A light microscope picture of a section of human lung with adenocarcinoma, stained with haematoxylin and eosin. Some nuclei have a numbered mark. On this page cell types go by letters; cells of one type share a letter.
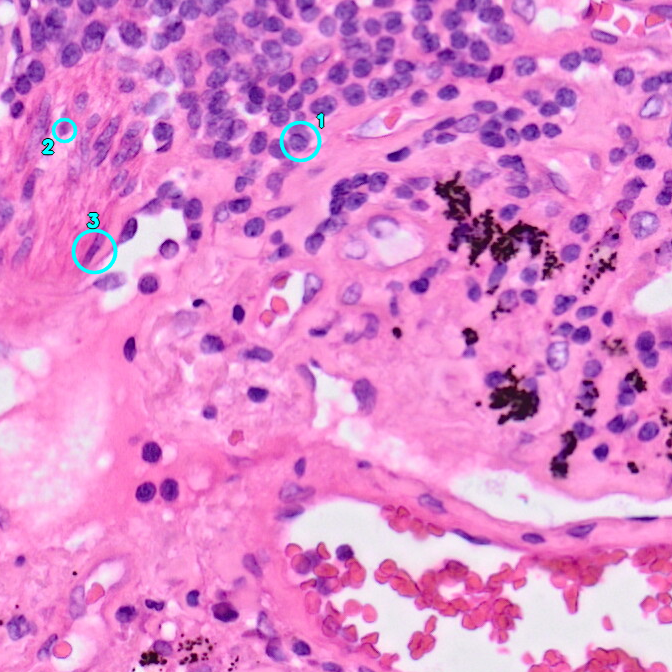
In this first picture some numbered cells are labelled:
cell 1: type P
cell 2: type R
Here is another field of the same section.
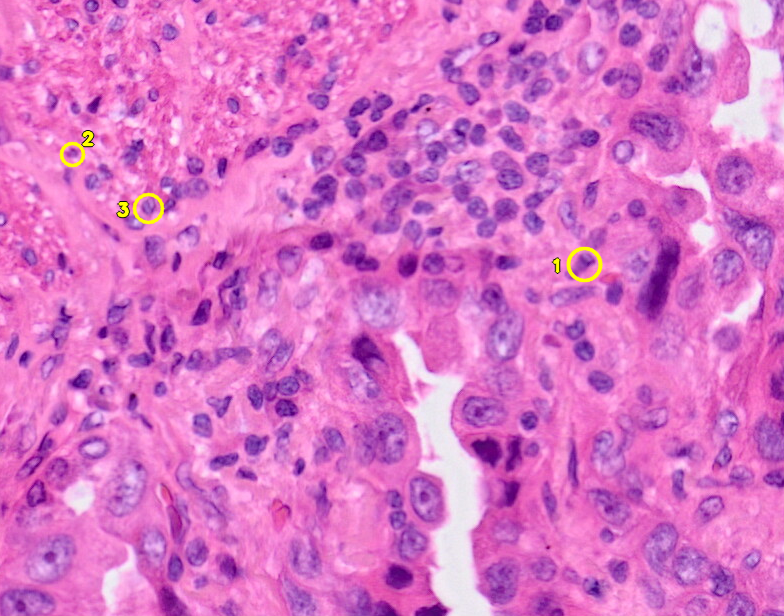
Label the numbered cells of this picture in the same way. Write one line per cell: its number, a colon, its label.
1: type P
2: type R
3: type R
